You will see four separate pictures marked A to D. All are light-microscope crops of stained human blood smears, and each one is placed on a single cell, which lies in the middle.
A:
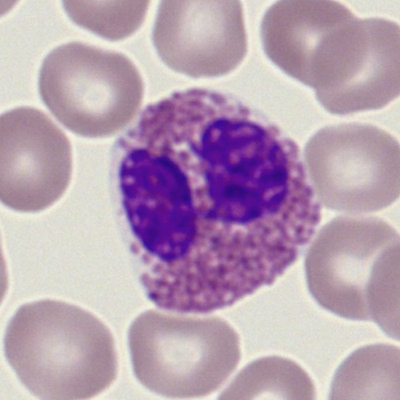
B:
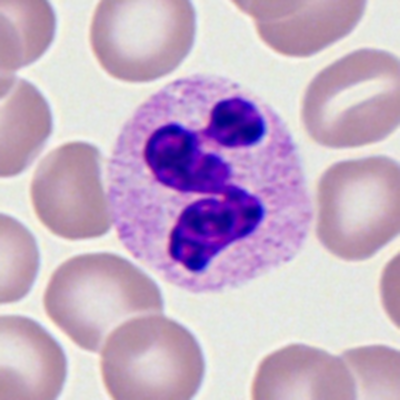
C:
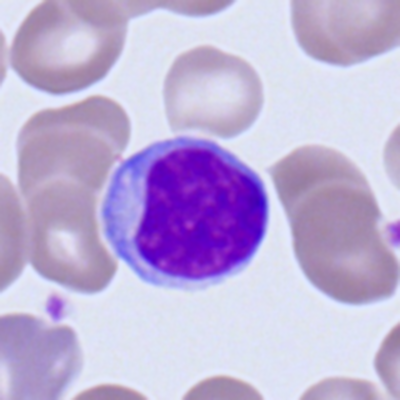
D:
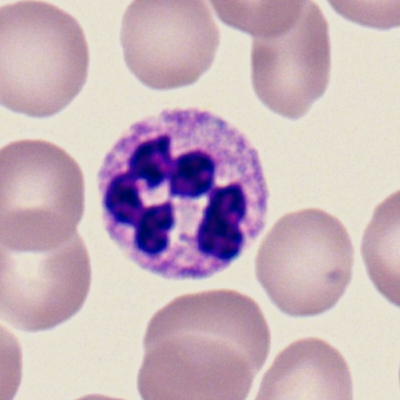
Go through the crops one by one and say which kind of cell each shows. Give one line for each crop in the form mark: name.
A: eosinophil
B: segmented neutrophil
C: lymphocyte
D: segmented neutrophil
